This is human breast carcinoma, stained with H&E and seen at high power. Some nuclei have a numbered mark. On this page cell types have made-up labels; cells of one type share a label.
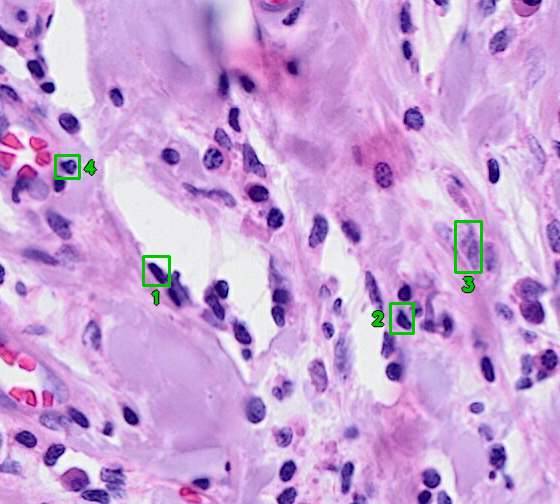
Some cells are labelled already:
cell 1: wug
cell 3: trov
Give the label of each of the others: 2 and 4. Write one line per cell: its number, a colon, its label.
2: wug
4: wug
